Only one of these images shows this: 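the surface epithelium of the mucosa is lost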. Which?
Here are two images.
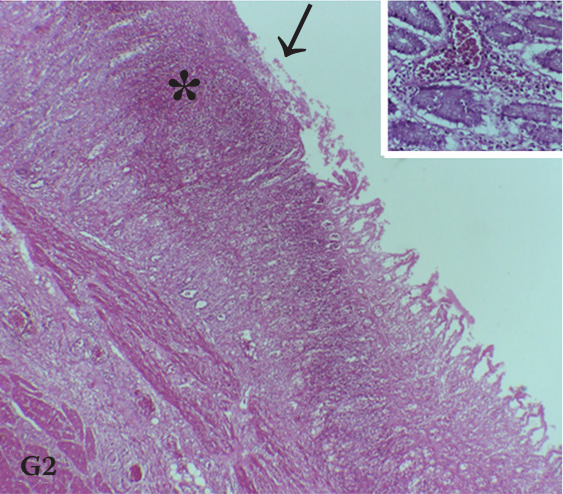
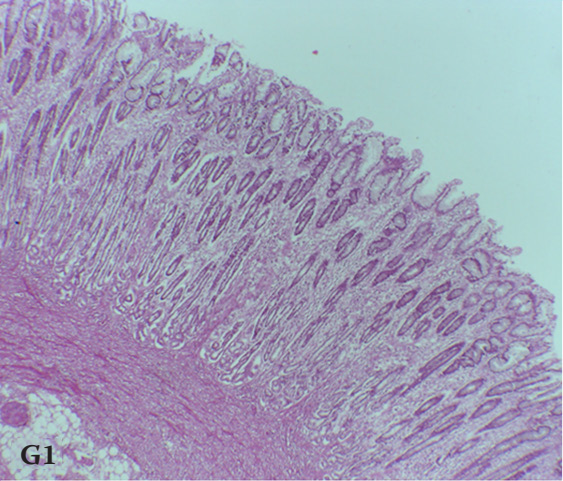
the first image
